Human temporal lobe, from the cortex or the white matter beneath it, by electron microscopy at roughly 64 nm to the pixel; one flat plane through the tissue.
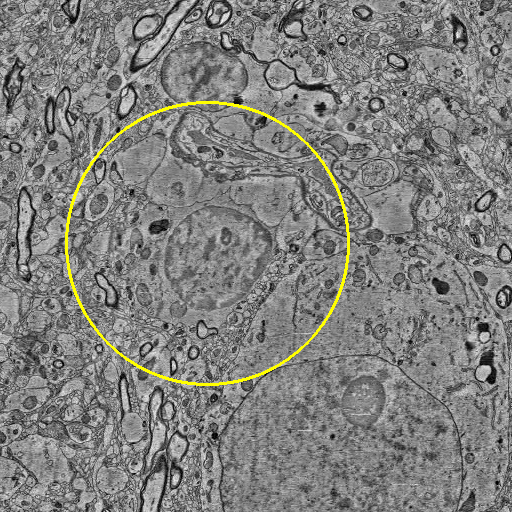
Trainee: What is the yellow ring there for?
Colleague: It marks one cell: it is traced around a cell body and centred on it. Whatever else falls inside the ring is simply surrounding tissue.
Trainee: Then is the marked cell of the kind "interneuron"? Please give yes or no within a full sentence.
No, the marked cell at the centre of the yellow ring is of a different kind.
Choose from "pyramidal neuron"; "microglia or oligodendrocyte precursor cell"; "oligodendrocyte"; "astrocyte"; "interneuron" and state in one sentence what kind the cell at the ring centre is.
The ringed cell in this picture is, instead, an oligodendrocyte.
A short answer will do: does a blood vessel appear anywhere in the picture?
Yes, a blood vessel is present in this picture.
